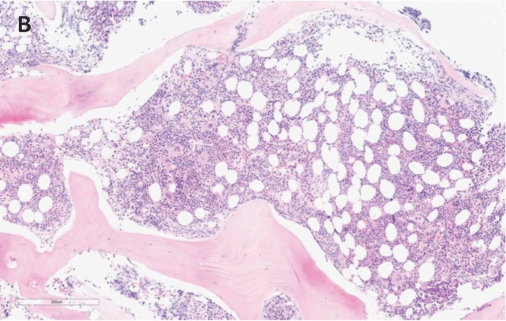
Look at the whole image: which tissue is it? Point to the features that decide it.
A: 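Pink bony trabeculae enclose intertrabecular spaces. The spaces are filled with densely packed blue-purple cells mixed with round empty fat spaces. That points to this answer: bone marrow.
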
